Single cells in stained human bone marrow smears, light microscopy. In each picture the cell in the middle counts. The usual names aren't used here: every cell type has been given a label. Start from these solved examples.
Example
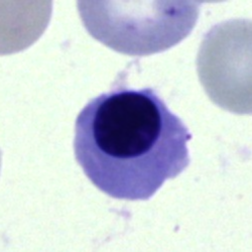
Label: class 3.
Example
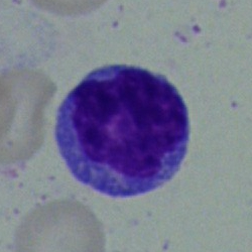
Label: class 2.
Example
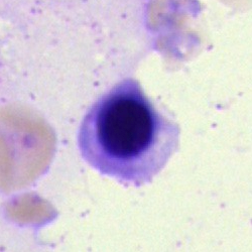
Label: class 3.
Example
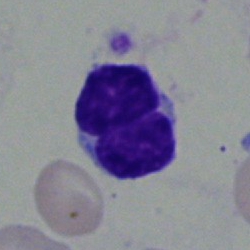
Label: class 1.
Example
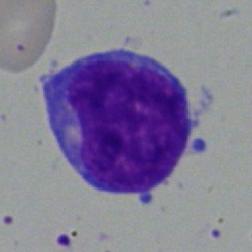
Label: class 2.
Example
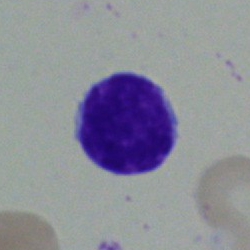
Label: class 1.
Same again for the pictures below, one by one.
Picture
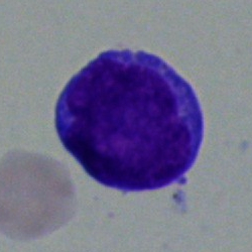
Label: class 2.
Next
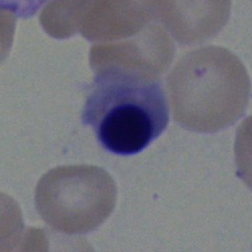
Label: class 3.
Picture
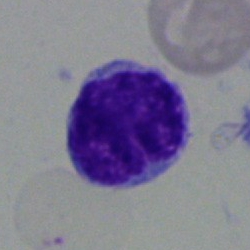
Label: class 1.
